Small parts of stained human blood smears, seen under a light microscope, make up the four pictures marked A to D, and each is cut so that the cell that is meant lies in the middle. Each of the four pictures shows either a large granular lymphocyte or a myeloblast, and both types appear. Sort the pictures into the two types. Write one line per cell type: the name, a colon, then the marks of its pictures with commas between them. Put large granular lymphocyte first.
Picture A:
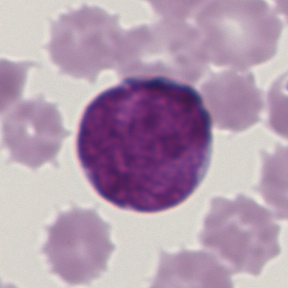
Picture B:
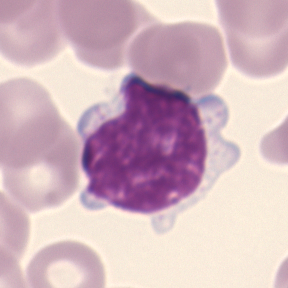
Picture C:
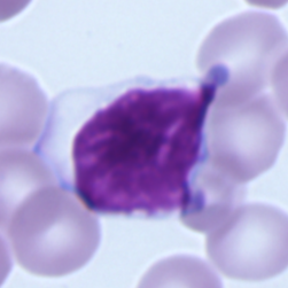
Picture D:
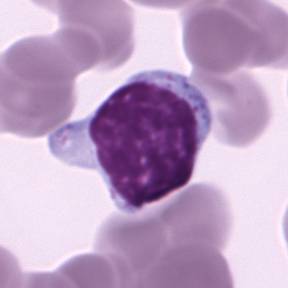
large granular lymphocyte: B, C, D
myeloblast: A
